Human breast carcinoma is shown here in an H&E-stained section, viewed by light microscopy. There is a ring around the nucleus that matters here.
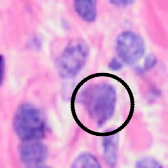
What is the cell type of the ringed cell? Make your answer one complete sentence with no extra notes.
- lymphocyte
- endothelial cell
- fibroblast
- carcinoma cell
Cell type answer for this item: the ringed cell is a carcinoma cell.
